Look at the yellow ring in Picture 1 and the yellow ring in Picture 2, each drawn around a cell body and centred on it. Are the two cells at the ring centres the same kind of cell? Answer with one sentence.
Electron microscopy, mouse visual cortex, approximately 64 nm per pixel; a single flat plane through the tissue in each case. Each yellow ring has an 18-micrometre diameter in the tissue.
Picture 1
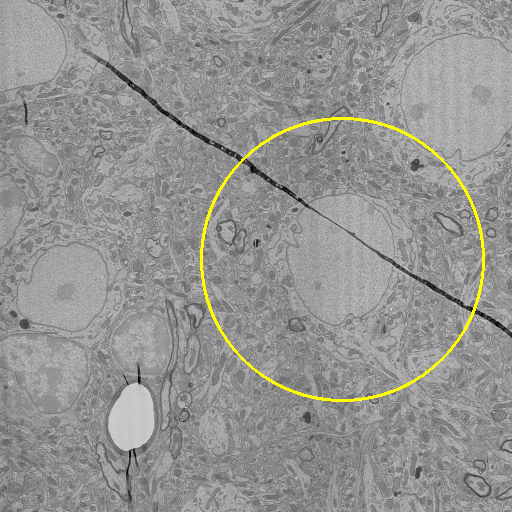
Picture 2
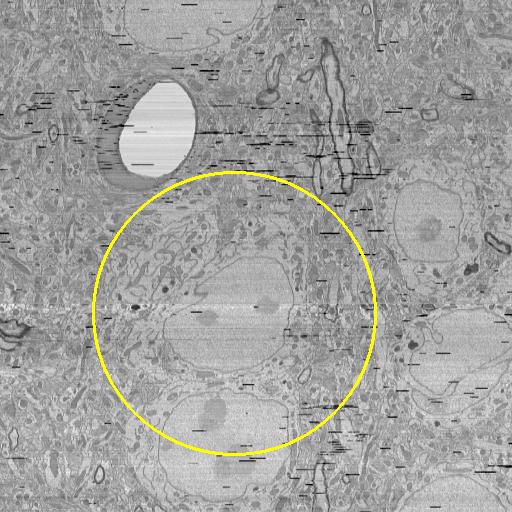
Yes, both are the same kind of cell.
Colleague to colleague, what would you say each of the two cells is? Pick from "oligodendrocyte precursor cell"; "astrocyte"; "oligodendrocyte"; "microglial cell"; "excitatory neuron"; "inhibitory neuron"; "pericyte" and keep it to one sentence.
Each of the two rings is centred on an excitatory neuron.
